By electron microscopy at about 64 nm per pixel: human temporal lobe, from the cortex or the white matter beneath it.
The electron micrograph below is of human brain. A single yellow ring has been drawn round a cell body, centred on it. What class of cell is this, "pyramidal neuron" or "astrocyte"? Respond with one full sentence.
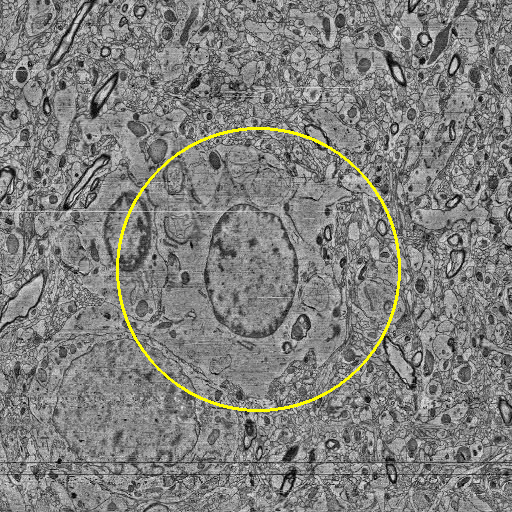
In the micrograph, the cell centred inside the yellow ring is an astrocyte.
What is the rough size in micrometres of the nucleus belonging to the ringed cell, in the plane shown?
Approximately 9 x 6 micrometres in this plane.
